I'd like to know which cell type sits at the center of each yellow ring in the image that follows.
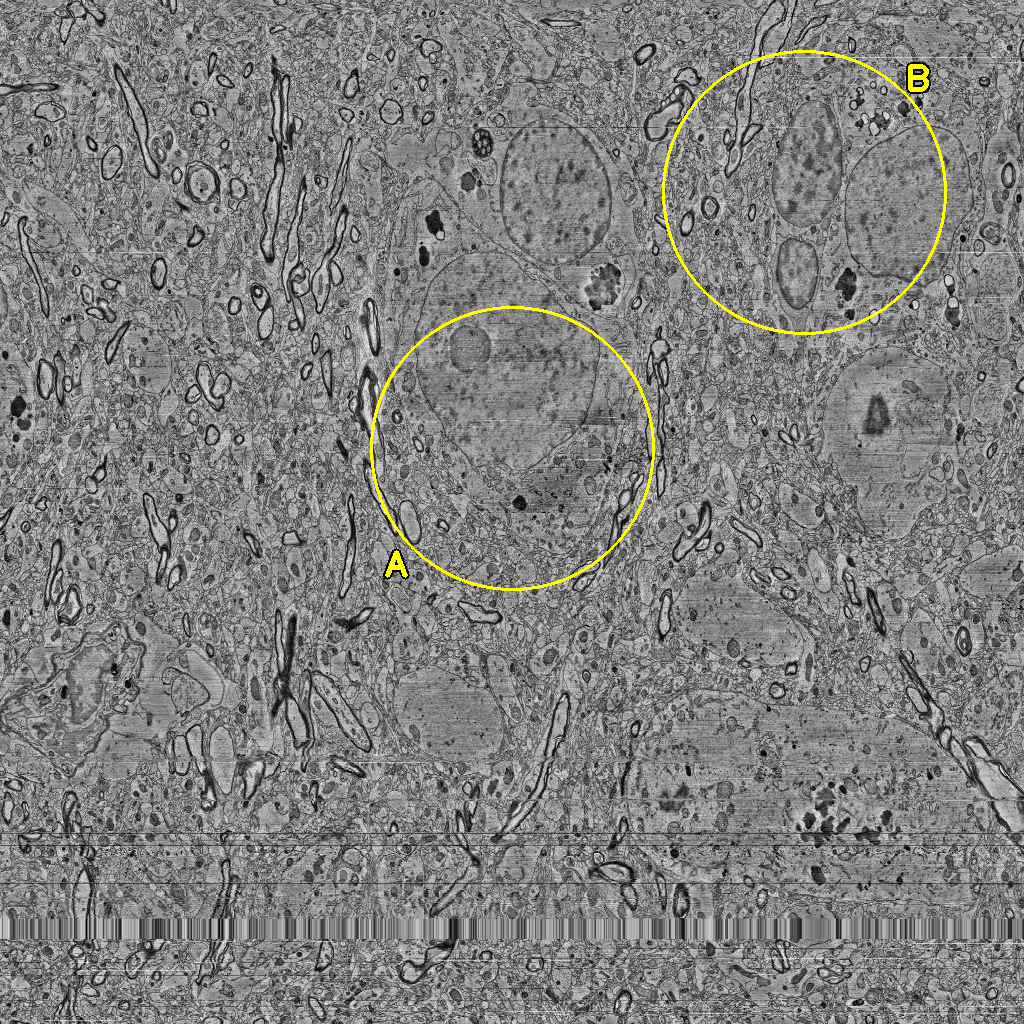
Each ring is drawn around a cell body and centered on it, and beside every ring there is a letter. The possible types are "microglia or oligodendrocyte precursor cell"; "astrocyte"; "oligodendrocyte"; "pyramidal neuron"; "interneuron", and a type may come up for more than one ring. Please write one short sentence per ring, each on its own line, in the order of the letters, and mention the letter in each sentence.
The cell at the center of ring A is a pyramidal neuron.
The cell at the center of ring B is an oligodendrocyte.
